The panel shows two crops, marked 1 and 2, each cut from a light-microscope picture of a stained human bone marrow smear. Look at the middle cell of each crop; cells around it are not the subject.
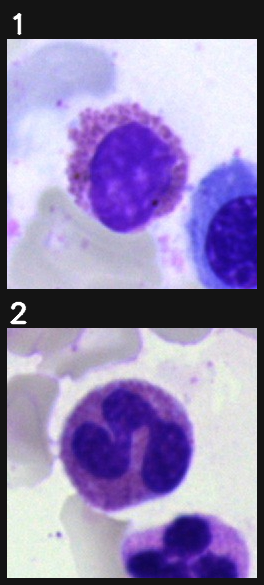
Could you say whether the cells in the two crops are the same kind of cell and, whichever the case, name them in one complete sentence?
Yes, eosinophils are present at the centre of both crops.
